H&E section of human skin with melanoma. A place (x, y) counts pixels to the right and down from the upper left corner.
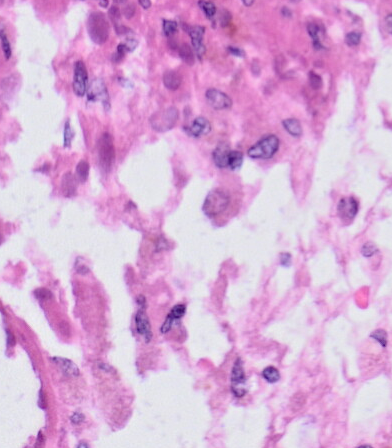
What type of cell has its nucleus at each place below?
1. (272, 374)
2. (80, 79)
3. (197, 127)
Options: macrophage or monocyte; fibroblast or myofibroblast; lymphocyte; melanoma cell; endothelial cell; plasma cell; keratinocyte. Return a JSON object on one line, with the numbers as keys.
{"1": "lymphocyte", "2": "macrophage or monocyte", "3": "macrophage or monocyte"}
